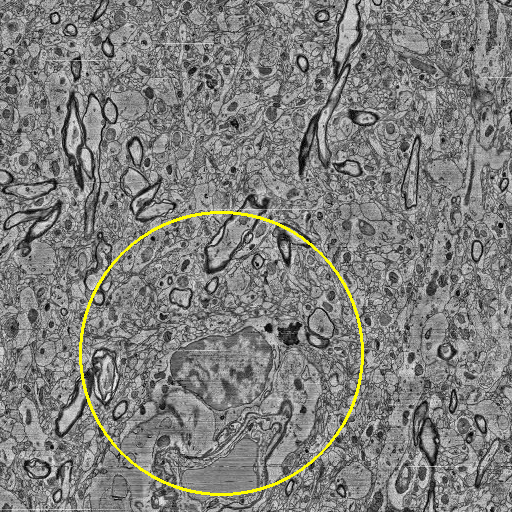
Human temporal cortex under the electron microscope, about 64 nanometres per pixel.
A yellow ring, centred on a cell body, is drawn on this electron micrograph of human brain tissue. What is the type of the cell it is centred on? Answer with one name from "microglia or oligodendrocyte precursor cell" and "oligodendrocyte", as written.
microglia or oligodendrocyte precursor cell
